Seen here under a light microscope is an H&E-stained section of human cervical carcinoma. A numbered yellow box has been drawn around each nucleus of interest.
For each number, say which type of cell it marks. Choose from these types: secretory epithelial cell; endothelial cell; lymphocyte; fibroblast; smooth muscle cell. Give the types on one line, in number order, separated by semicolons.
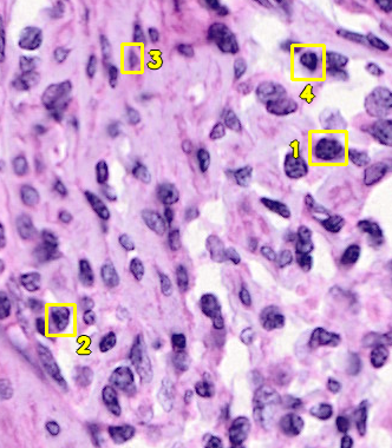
lymphocyte; lymphocyte; smooth muscle cell; lymphocyte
